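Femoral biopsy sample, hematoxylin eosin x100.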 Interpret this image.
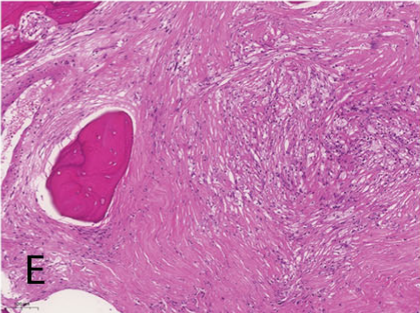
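Low-power view of bone with fibrosis of the intratrabecular space. On the left lies a bright pink fragment of bone trabecula with a smooth outline, separated from the surrounding tissue by a thin clear gap. The rest of the field is filled by pink fibrous tissue made of wavy bundles with many small elongated nuclei running in swirling directions. Toward the right the tissue is more cellular, with denser clusters of nuclei and paler areas. No normal marrow fat or blood-forming cells are seen between the fibres.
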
